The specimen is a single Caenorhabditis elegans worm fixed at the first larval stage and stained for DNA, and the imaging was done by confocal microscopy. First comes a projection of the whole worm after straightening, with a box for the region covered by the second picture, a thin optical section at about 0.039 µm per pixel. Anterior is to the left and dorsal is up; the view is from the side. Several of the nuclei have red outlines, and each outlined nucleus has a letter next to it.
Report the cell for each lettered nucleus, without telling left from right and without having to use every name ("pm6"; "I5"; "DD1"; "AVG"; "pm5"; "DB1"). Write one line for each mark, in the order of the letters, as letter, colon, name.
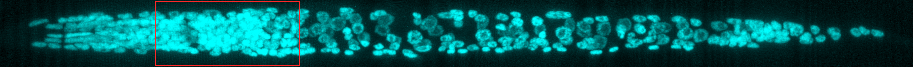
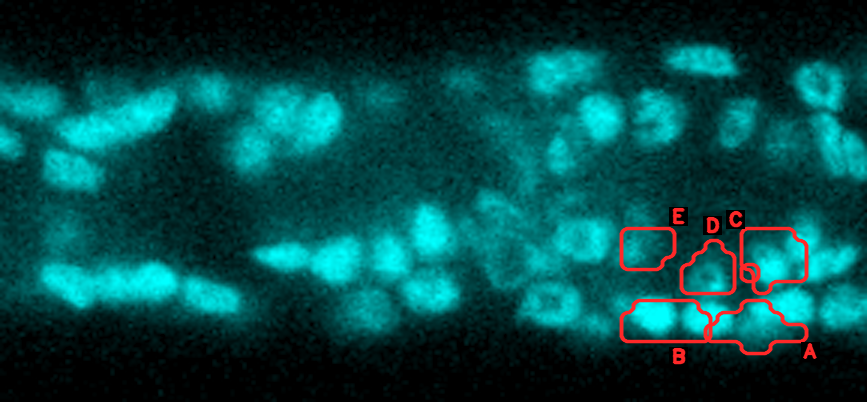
A: DB1
B: AVG
C: pm6
D: I5
E: pm5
